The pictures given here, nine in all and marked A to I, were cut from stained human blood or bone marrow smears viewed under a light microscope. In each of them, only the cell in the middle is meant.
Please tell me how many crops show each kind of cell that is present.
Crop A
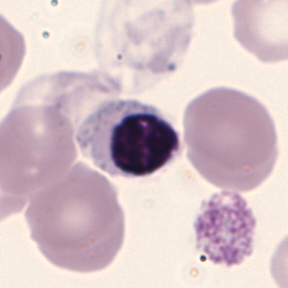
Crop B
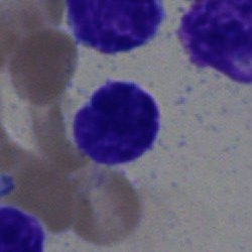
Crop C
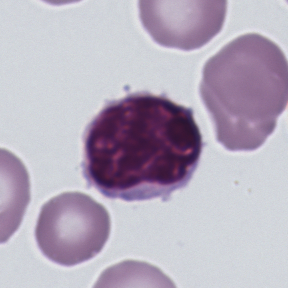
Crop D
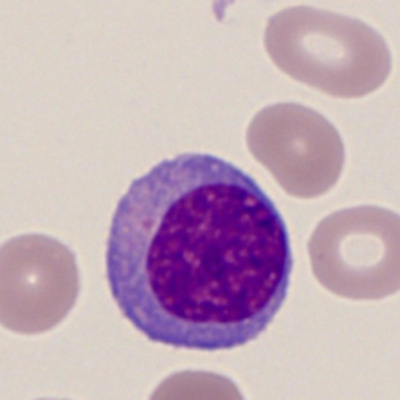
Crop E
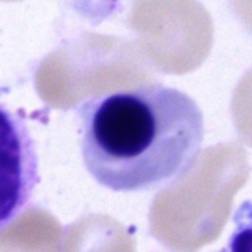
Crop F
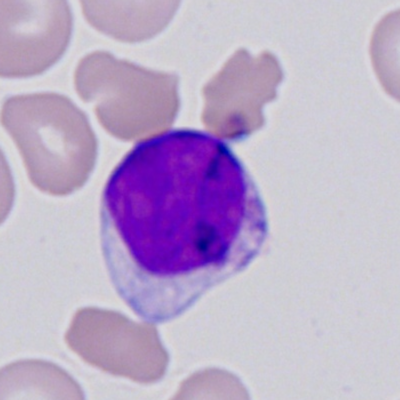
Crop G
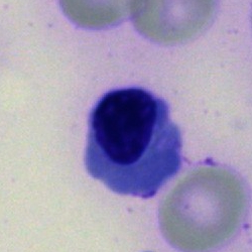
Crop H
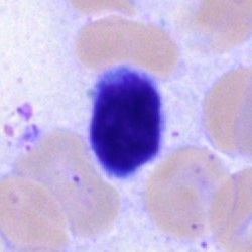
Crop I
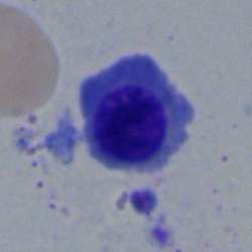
lymphocyte: 5
erythroblast: 4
